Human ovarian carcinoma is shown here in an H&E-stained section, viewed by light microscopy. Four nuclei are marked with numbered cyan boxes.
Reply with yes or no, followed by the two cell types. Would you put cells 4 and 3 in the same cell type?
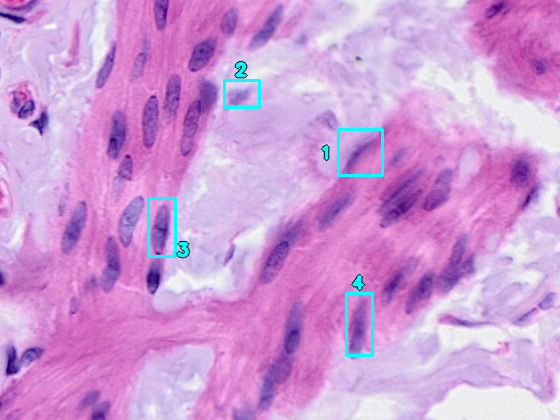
Yes, among the marked cells, numbers 4 and 3 are both smooth muscle cells.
